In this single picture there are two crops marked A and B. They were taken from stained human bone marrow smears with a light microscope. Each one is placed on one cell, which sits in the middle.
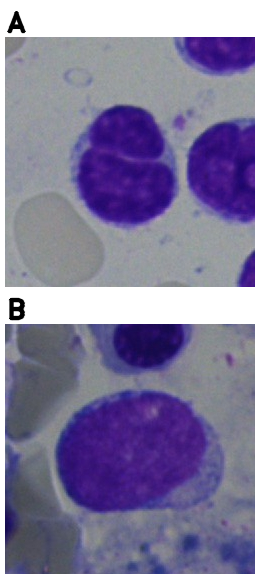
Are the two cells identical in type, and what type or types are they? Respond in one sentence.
No, crop A contains a lymphocyte, and crop B contains a blast.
